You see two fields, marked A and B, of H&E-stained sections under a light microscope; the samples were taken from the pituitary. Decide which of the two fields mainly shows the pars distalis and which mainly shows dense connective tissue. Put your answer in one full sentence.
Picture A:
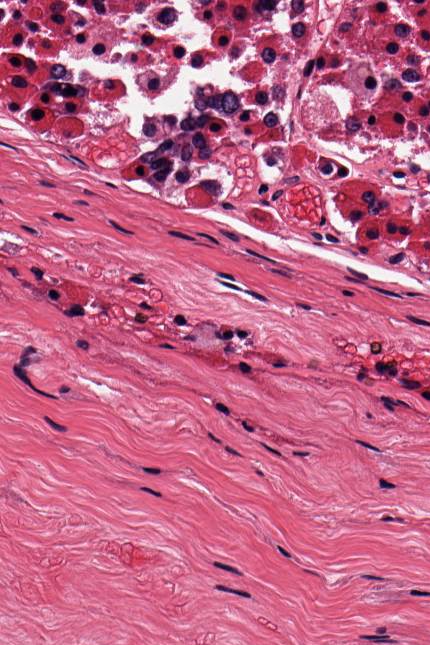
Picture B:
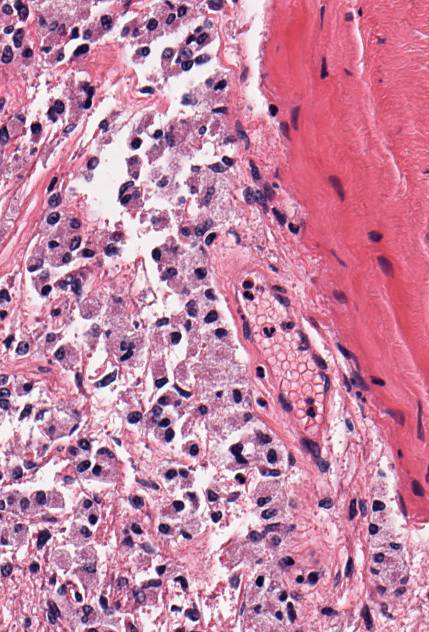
Picture A mainly shows dense connective tissue and picture B mainly shows the pars distalis.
